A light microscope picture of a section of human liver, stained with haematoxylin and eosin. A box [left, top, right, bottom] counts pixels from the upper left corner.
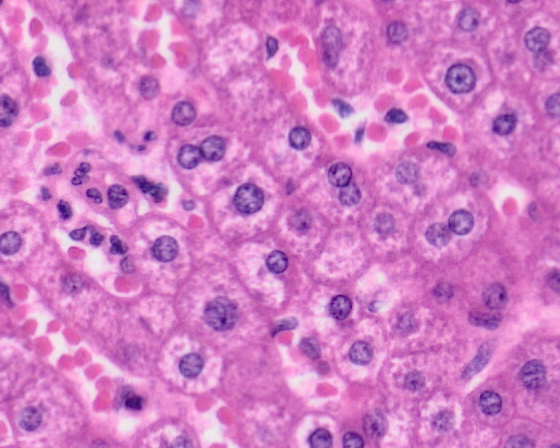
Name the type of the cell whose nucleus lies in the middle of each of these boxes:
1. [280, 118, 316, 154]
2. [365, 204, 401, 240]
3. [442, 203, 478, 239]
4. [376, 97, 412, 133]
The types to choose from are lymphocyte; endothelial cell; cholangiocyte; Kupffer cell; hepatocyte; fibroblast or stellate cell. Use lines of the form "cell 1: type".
cell 1: hepatocyte
cell 2: hepatocyte
cell 3: hepatocyte
cell 4: lymphocyte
